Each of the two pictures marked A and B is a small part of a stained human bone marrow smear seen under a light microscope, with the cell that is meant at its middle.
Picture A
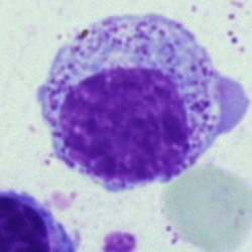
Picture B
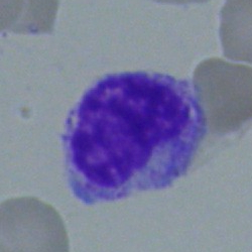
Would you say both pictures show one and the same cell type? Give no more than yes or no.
yes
